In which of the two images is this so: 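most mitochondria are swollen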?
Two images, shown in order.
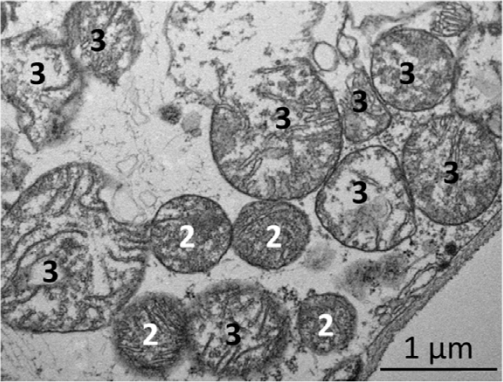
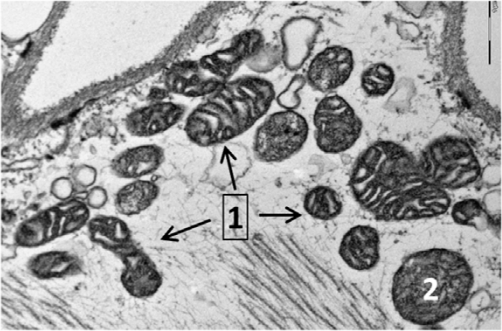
The first image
